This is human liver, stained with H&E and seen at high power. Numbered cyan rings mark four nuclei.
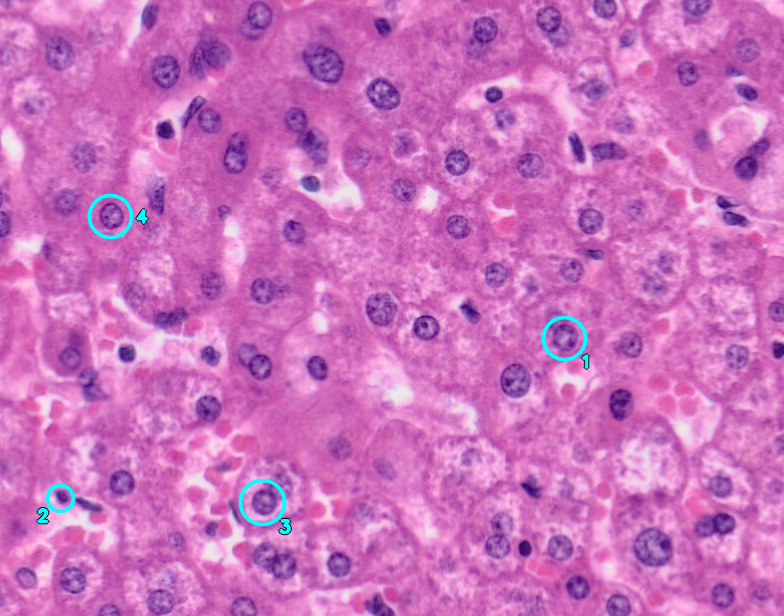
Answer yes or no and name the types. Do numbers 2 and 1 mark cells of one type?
No, rather, cell 2 is a lymphocyte and cell 1 is a hepatocyte.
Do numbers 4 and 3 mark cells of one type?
Yes, both of cells 4 and 3 are hepatocytes.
